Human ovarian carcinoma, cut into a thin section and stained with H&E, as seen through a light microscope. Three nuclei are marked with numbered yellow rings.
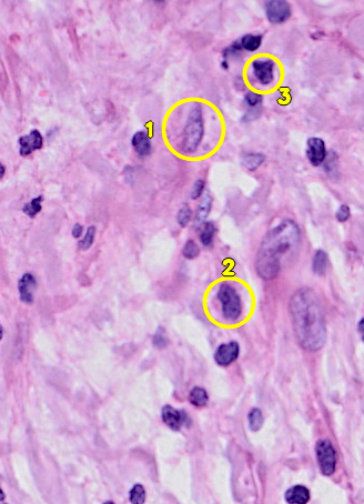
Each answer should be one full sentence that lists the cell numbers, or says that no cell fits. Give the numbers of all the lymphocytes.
Cell 3 is the only one of the numbered cells that is a lymphocyte.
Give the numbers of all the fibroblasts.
Only cell 1 qualifies as a fibroblast among the numbered cells.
